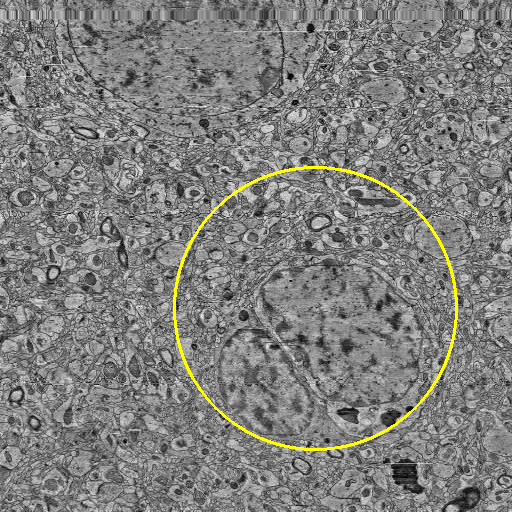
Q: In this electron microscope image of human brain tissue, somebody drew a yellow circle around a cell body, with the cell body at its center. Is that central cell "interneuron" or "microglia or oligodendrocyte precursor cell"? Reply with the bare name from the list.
interneuron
